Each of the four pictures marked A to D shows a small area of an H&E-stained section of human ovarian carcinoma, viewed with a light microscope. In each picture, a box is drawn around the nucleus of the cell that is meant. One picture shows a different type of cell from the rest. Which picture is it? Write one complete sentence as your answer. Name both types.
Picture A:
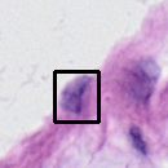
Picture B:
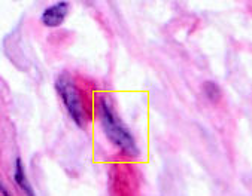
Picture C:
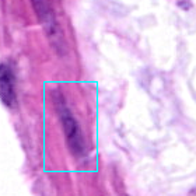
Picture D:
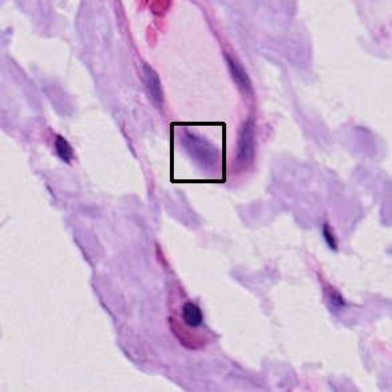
The different one is picture C; it shows a smooth muscle cell, whereas all the others show endothelial cells.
